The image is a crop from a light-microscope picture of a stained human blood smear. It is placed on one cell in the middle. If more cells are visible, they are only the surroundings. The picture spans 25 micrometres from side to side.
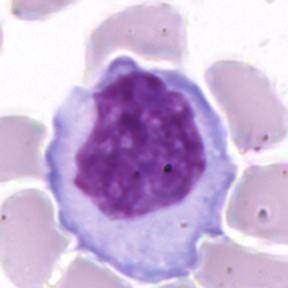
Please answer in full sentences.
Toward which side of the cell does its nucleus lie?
Seen from the middle of the cell, the nucleus lies toward the top.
